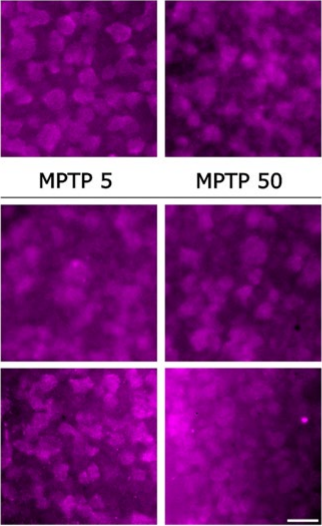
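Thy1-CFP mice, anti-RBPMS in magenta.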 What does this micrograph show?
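The somata are round to oval and roughly similar in size. Some fields show the labelled cell bodies more sparsely and with weaker contrast than others, and in one lower field the outlines of individual cells are blurred by diffuse magenta background.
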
